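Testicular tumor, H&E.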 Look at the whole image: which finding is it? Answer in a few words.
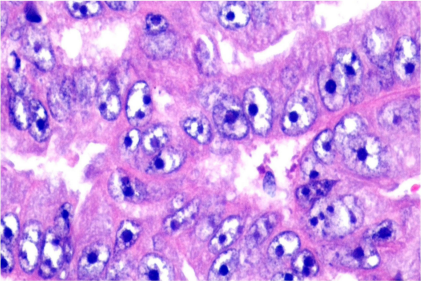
Enlarged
